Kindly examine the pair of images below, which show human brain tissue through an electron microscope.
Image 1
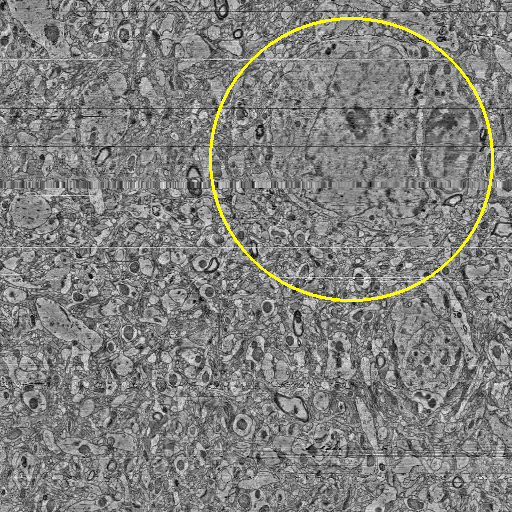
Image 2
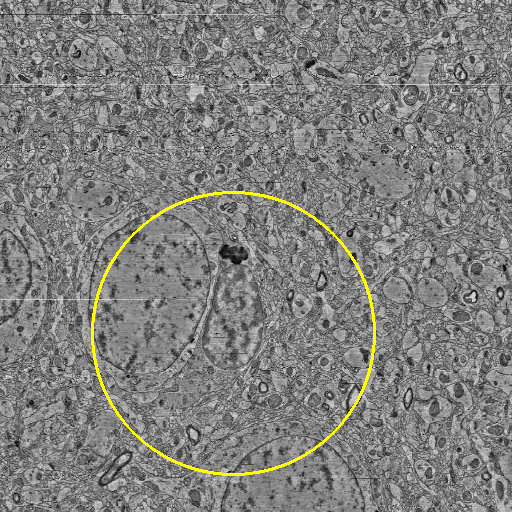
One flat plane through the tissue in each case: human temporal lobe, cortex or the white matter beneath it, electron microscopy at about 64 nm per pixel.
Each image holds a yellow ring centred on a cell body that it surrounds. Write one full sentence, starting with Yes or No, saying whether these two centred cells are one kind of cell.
No, the cells at the centres of the yellow rings belong to two kinds of cell.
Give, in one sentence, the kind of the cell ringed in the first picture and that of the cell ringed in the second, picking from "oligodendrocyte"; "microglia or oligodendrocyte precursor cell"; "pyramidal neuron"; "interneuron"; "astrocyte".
For the first picture it is an interneuron; for the second, an oligodendrocyte.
